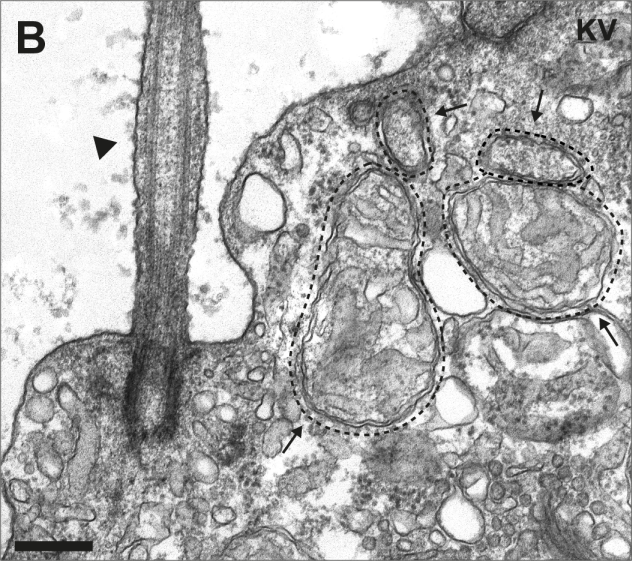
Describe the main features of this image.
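Electron micrograph of the apical part of a ciliated cell, with a single long cilium rising from a dense basal body at the cell surface into the lumen. Beside it the cytoplasm holds several mitochondria with double membranes and folded inner membranes, along with many small round vesicles.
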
